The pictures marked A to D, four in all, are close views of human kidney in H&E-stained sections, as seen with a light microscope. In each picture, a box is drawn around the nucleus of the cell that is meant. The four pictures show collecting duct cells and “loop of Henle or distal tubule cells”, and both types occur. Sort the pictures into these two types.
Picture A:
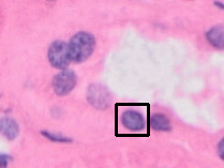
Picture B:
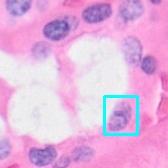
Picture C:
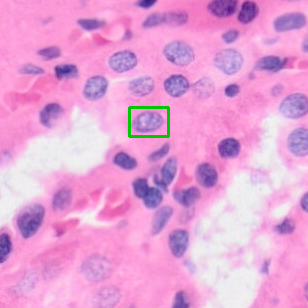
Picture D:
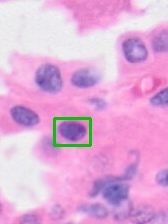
A: loop of Henle or distal tubule cell
B: collecting duct cell
C: loop of Henle or distal tubule cell
D: loop of Henle or distal tubule cell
